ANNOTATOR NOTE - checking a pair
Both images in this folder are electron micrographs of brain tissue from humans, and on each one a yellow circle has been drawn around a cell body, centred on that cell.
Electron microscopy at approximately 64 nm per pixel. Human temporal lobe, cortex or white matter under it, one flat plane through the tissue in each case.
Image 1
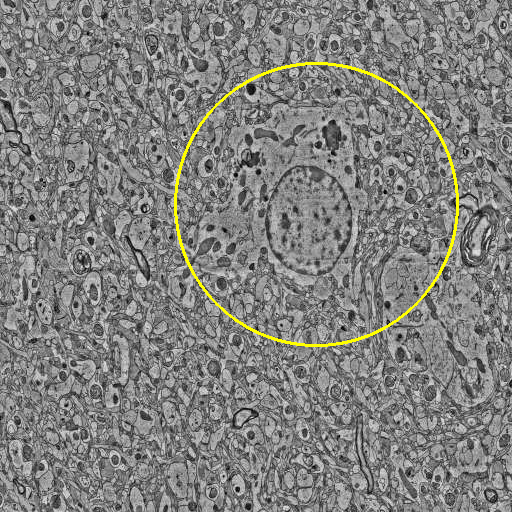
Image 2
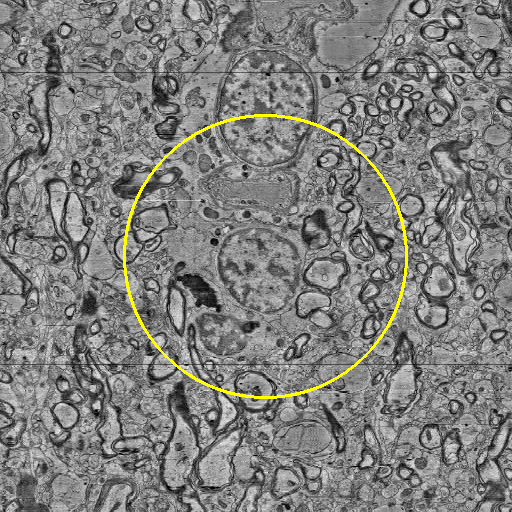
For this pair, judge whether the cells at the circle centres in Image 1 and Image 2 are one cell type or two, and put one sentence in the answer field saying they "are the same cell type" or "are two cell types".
For this pair, the cells at the circle centres in Images 1 and 2 are two cell types.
